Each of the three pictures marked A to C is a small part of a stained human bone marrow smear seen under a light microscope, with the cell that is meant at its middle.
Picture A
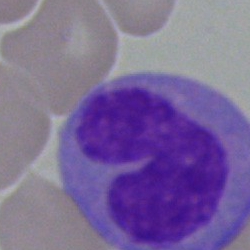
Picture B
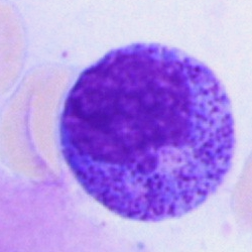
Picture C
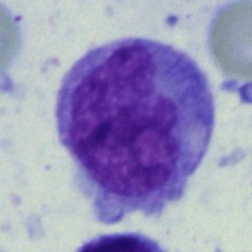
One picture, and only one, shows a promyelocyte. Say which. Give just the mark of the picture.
B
